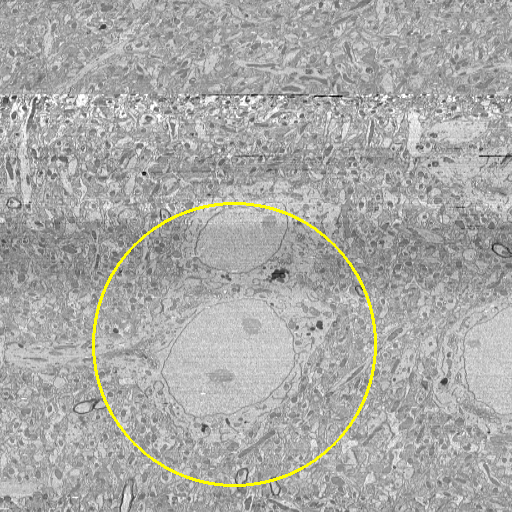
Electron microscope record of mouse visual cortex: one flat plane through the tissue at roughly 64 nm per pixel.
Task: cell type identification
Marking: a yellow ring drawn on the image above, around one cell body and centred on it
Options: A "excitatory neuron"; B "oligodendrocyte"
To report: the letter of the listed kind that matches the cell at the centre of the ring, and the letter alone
A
